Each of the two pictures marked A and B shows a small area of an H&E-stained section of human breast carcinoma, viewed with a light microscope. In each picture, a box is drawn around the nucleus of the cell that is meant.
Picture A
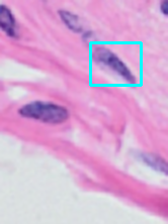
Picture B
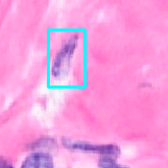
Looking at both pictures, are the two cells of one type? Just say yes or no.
yes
